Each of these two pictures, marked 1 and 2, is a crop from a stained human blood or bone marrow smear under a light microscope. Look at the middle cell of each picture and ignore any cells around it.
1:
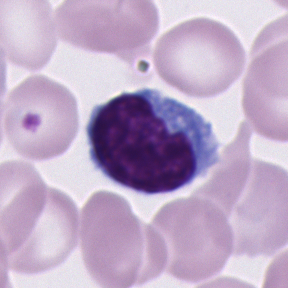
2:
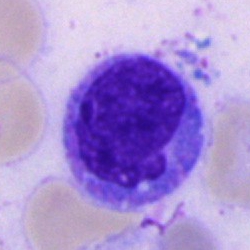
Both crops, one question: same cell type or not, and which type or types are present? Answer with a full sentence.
No, a lymphocyte occupies the middle of crop 1, and a monocyte the middle of crop 2.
